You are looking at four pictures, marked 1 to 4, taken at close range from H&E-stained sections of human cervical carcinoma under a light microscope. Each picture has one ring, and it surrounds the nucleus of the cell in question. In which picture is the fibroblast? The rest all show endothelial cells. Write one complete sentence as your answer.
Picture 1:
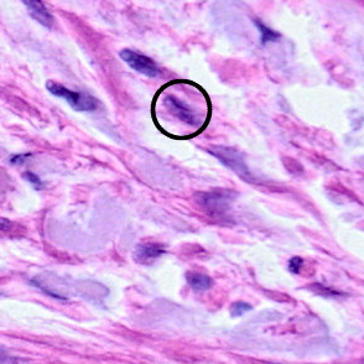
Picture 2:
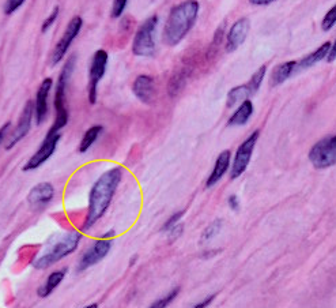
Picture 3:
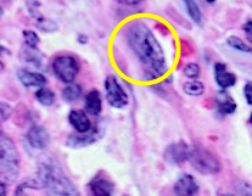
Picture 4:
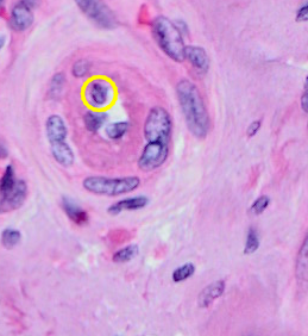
The cell in picture 1 is the fibroblast.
